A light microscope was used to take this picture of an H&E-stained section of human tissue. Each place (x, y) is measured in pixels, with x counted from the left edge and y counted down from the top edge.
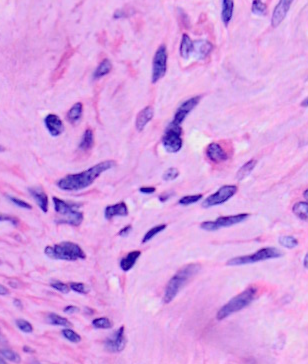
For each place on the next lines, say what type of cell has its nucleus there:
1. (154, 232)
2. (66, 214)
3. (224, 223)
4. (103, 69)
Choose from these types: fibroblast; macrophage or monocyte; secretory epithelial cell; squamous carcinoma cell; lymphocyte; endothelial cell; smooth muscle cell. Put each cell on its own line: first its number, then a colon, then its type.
1: fibroblast
2: fibroblast
3: fibroblast
4: smooth muscle cell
